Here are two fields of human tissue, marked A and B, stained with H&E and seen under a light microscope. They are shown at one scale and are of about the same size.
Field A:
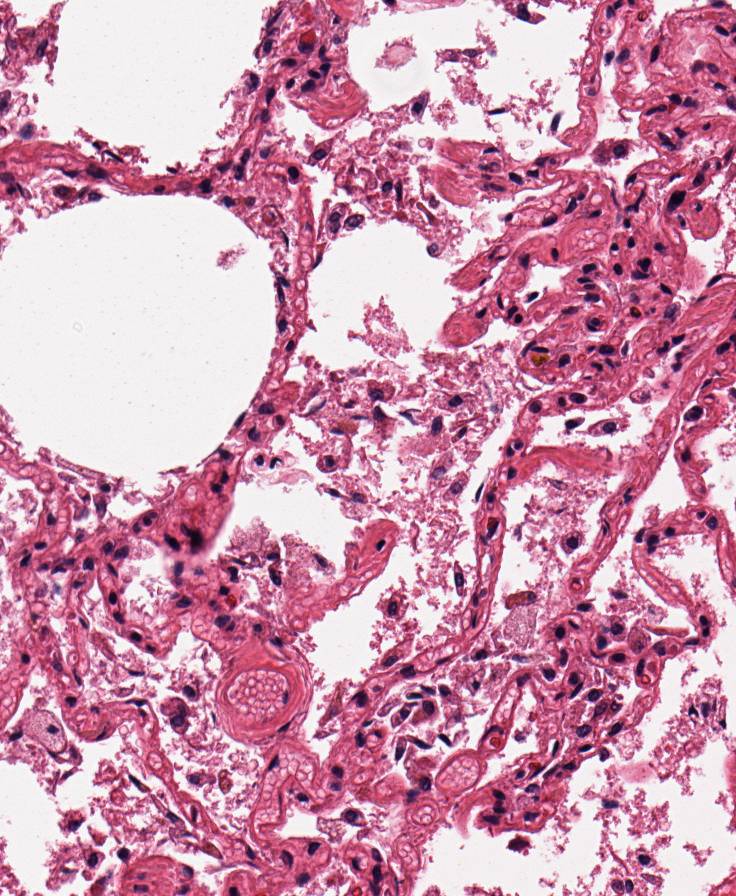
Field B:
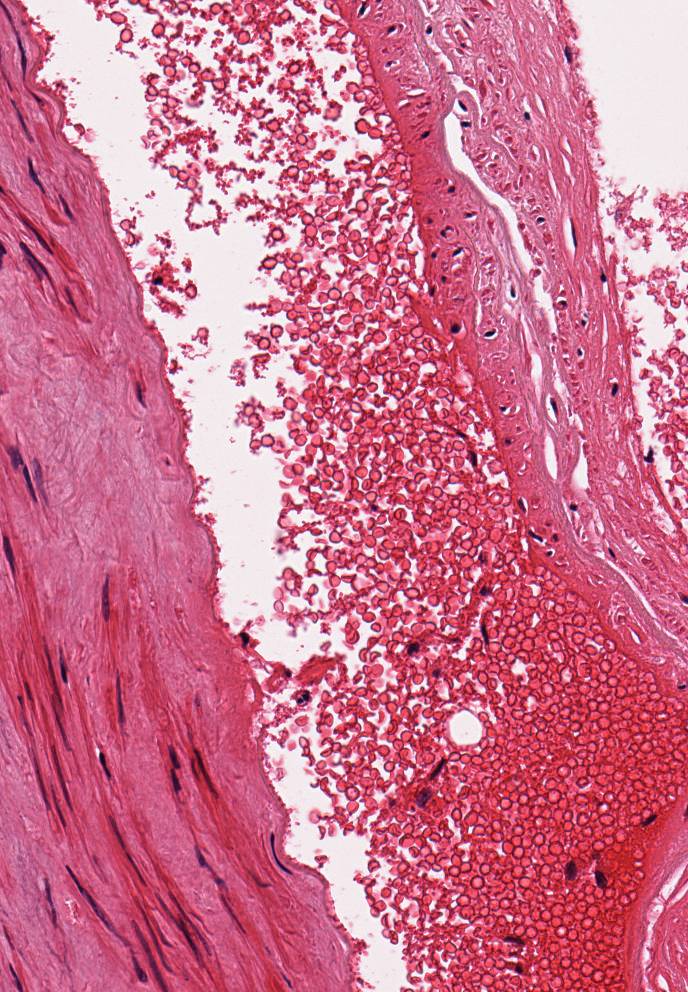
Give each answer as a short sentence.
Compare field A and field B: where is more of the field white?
It is field A in which white space covers the larger part.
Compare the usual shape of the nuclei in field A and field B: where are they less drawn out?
It is field A whose nuclei are the rounder.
